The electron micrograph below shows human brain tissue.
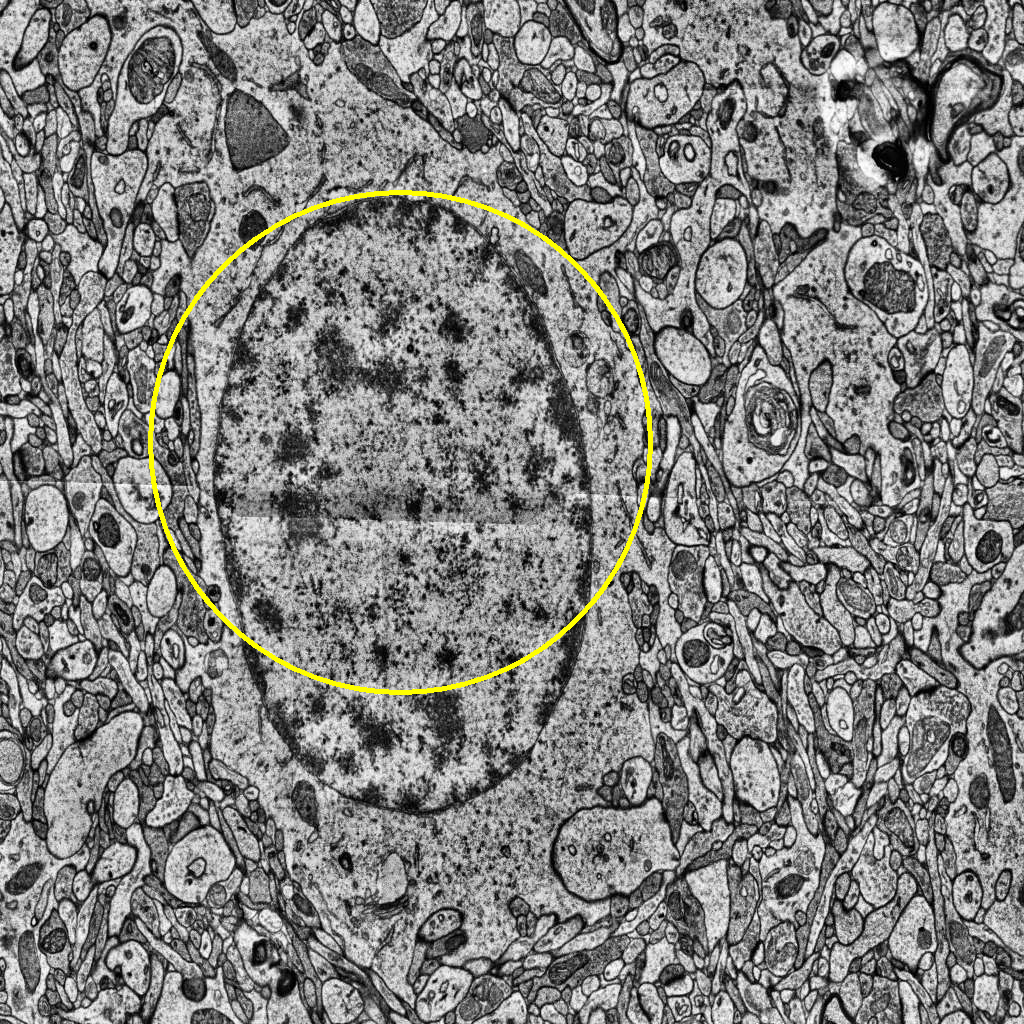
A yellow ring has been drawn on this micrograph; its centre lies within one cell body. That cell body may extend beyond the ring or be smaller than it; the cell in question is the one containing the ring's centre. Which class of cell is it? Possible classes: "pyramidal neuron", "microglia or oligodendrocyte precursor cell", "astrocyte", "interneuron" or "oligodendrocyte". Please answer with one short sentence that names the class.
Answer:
In the centre of the ring sits an astrocyte.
